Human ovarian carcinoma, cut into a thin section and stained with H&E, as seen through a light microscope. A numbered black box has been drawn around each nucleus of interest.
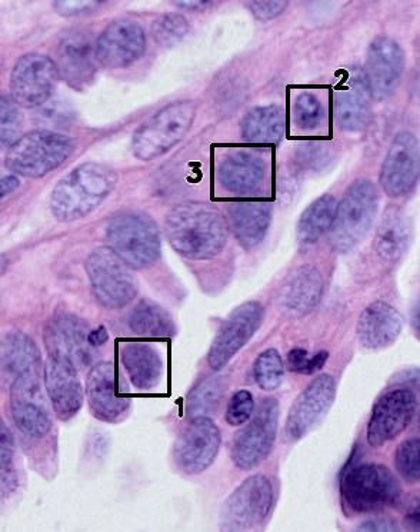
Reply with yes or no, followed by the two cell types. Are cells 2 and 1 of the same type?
No; cell 2 is a macrophage or monocyte, whereas cell 1 is a carcinoma cell.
